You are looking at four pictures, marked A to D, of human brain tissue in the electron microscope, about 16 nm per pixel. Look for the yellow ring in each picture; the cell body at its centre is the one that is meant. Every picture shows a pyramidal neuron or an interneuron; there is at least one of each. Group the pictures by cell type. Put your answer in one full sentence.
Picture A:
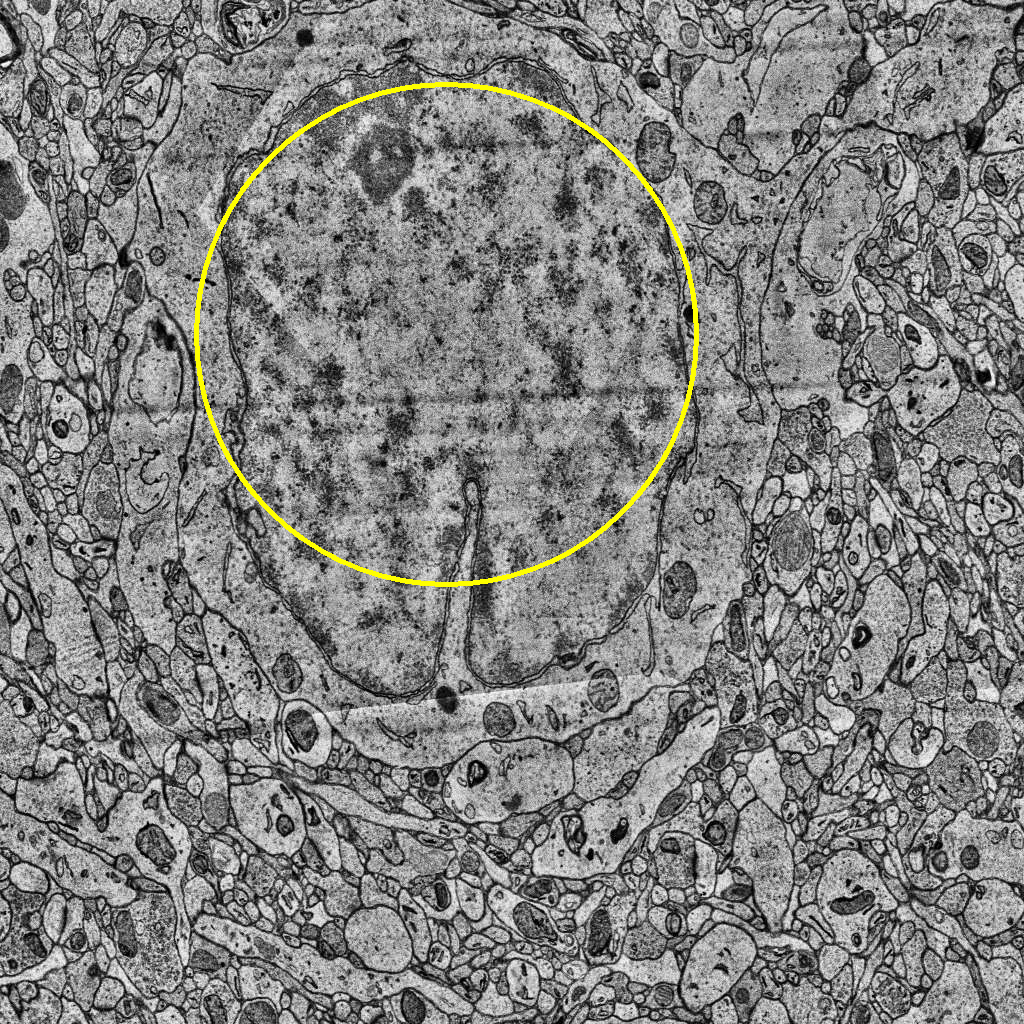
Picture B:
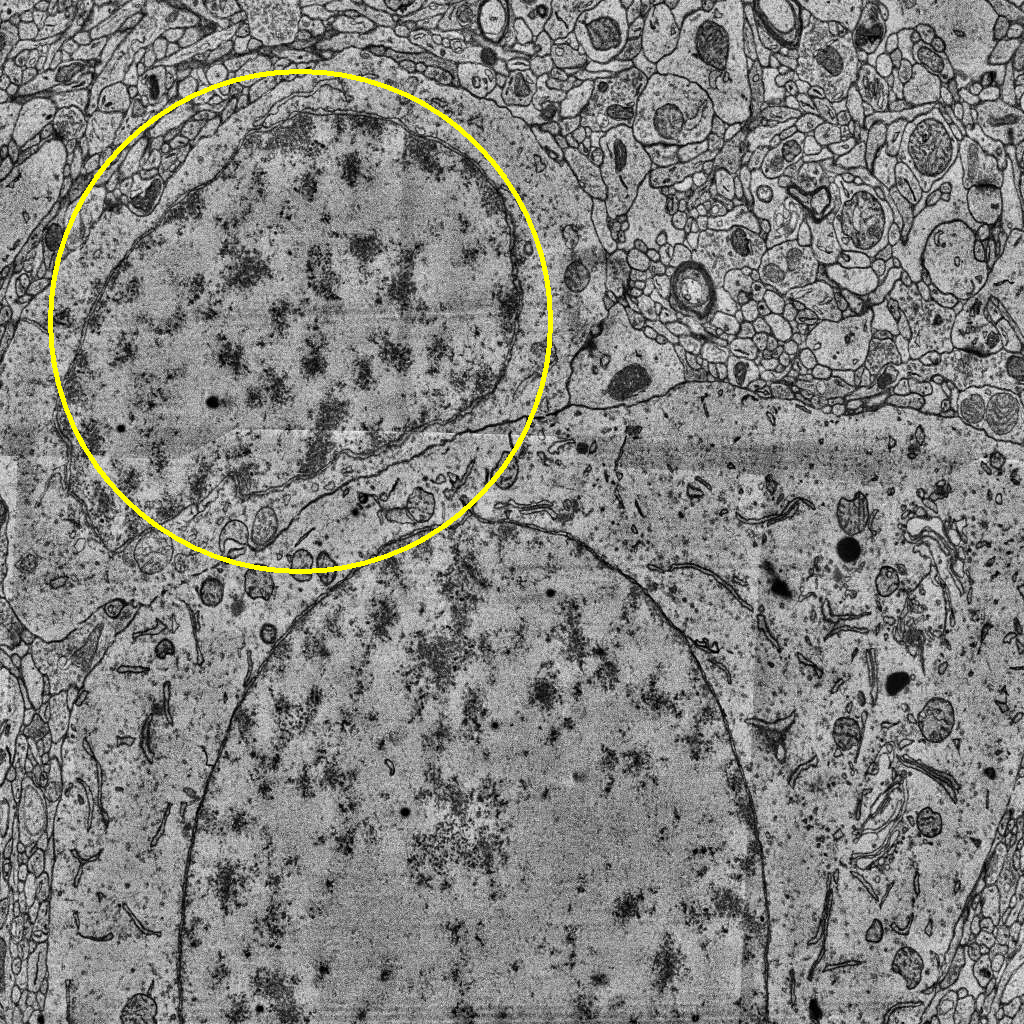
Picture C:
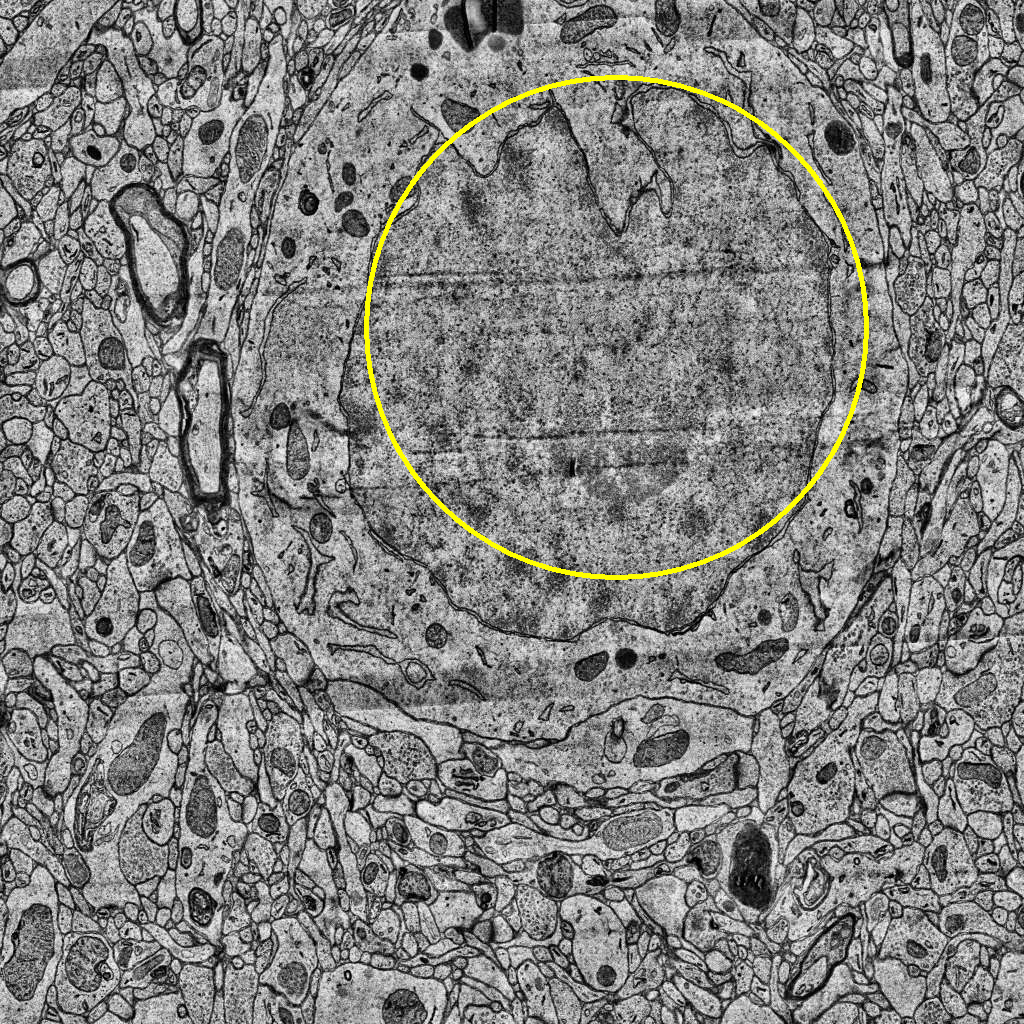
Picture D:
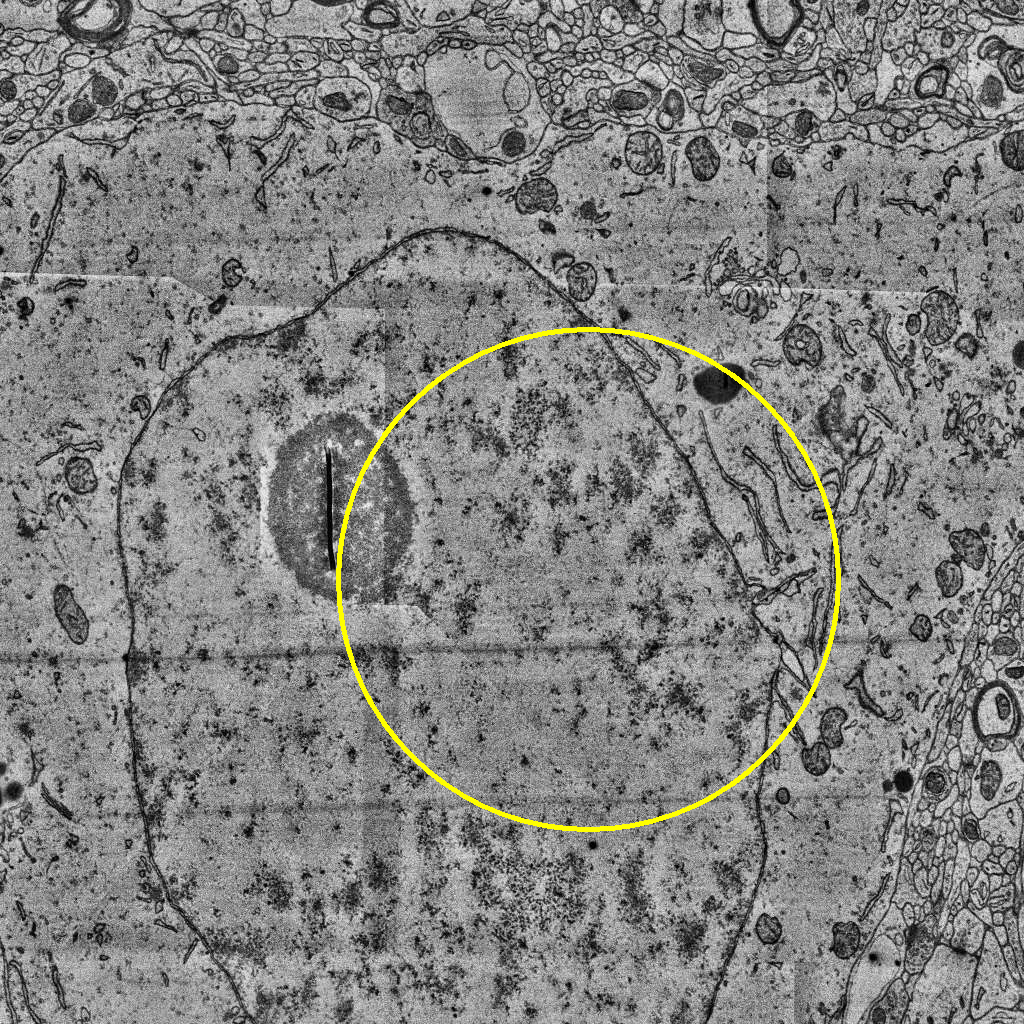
Picture D shows a pyramidal neuron, while pictures A, B and C show interneurons.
